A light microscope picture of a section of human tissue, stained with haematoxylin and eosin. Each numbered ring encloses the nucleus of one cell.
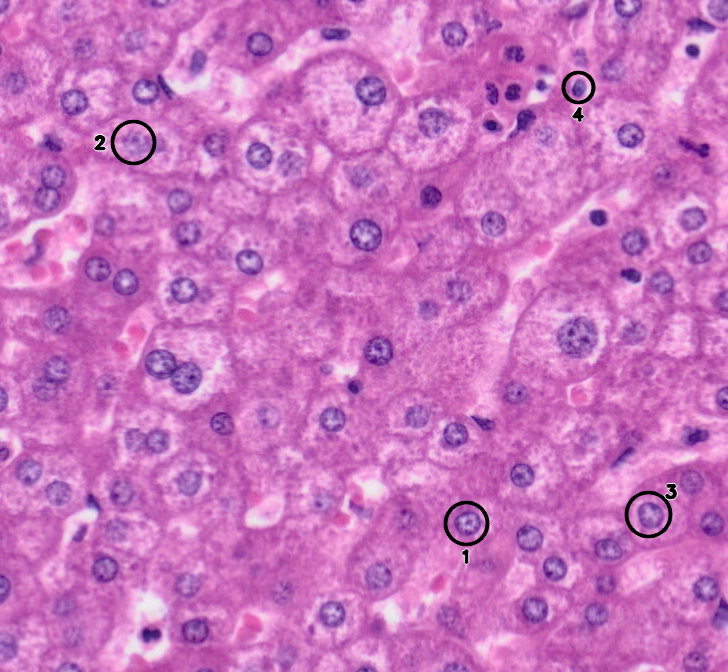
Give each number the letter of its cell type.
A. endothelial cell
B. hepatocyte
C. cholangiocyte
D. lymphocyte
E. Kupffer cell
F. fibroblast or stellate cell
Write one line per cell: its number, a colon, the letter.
1: B
2: B
3: B
4: D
